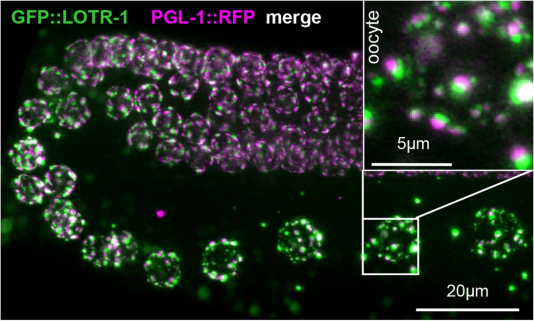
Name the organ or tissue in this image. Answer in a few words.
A: Germline.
